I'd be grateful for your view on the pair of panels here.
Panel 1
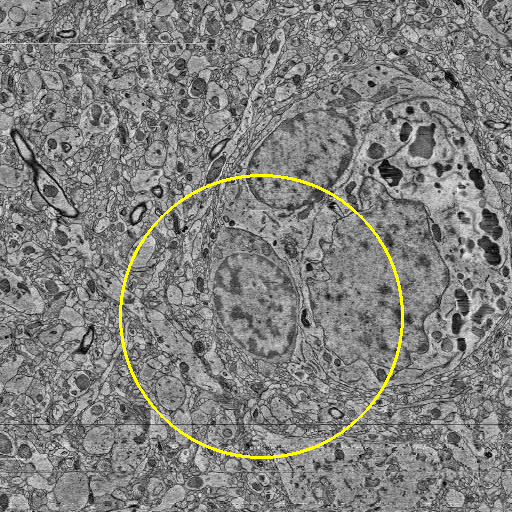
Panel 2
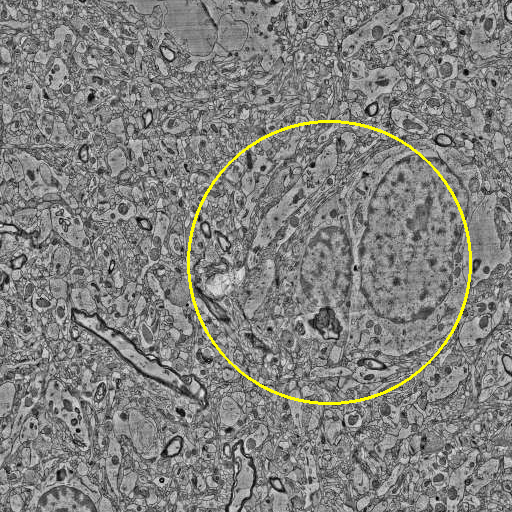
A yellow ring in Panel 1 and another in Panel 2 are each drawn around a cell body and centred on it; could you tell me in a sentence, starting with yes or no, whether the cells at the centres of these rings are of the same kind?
Yes, they are the same kind of cell.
